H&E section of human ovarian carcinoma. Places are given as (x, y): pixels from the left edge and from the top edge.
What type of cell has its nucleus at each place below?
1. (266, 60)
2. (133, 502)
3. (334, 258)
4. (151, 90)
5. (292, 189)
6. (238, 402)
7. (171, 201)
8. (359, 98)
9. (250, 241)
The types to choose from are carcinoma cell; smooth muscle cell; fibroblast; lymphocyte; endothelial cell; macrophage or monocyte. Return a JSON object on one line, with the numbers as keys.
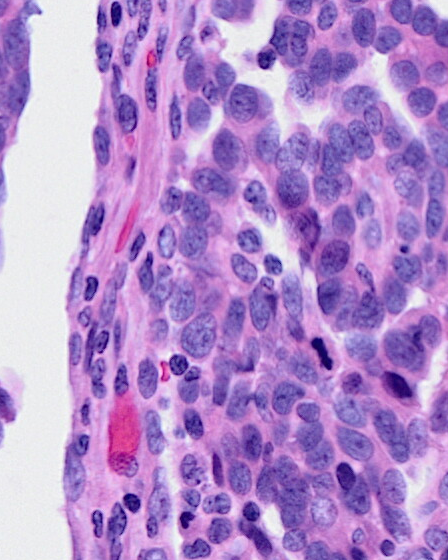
{"1": "lymphocyte", "2": "lymphocyte", "3": "carcinoma cell", "4": "endothelial cell", "5": "carcinoma cell", "6": "carcinoma cell", "7": "macrophage or monocyte", "8": "carcinoma cell", "9": "macrophage or monocyte"}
